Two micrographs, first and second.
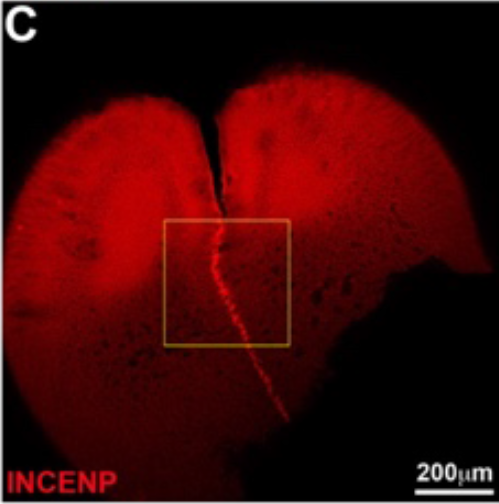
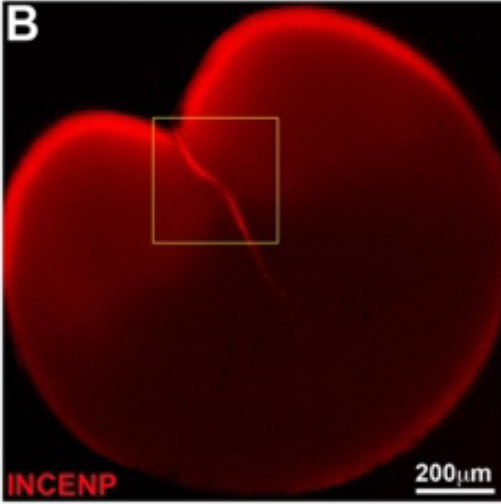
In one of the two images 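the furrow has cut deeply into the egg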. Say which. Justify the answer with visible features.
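First image: a deep open cleft runs from the top edge far into the egg. Second image: only a shallow notch indents the egg surface at top left. That points to this answer: the first image.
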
